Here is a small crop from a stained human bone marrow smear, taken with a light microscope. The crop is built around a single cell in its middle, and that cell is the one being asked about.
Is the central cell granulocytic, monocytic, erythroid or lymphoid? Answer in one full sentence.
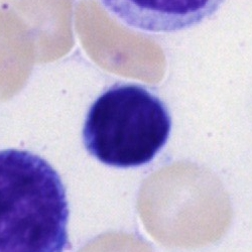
The lineage to which the central cell belongs is the lymphoid lineage.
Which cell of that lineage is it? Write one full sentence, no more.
Classification of the middle cell gives a lymphocyte.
